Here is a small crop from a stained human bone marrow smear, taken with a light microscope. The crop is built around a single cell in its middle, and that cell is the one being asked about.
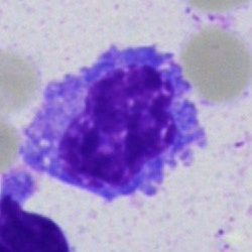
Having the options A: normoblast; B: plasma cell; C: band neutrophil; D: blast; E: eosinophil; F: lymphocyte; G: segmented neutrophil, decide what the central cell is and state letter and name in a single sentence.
The central cell is a plasma cell, which makes option B the right answer.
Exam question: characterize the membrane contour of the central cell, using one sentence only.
Smoothness is lacking at the edge, which is ragged in places or drawn into projections.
